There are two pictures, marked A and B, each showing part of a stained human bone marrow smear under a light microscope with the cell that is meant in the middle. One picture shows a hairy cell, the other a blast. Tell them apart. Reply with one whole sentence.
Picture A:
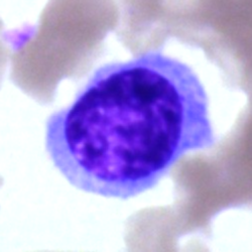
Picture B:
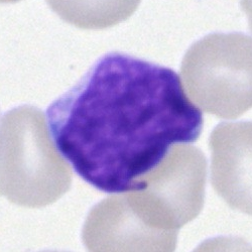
Picture B shows a blast, while picture A shows a hairy cell.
